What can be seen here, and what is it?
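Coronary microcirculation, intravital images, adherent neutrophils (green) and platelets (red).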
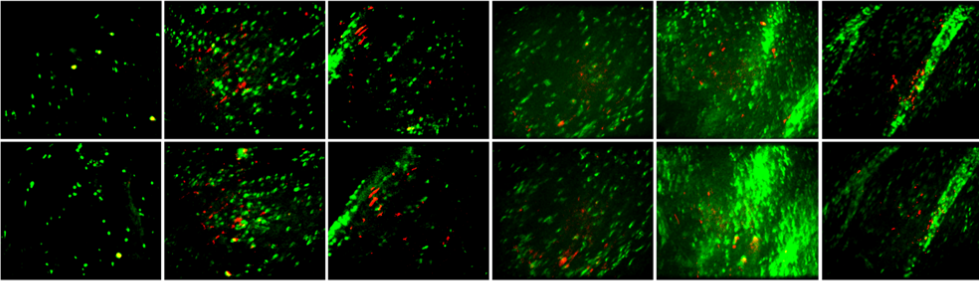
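The green spots are small, round to slightly elongated, and scattered singly across the field. In some frames they are sparse, while in others they are crowded. In several frames on the right, the green fluorescence merges into broad, bright streaks that follow the course of larger vessels, and the smaller red spots and short red streaks lie among the green ones.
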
